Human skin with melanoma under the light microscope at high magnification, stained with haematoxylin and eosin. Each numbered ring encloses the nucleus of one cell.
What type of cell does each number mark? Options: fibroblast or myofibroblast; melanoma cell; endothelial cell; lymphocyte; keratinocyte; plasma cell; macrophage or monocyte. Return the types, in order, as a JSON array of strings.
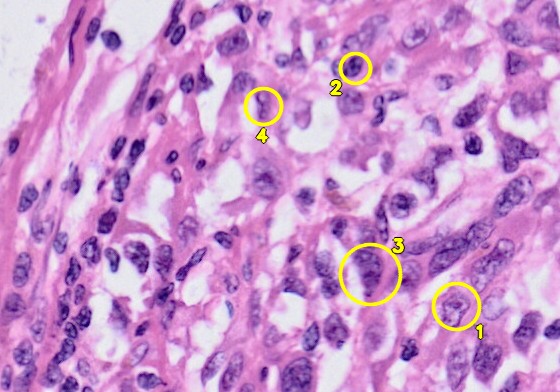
["melanoma cell", "lymphocyte", "melanoma cell", "melanoma cell"]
